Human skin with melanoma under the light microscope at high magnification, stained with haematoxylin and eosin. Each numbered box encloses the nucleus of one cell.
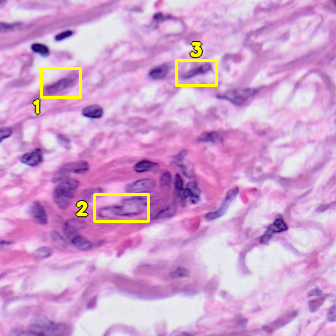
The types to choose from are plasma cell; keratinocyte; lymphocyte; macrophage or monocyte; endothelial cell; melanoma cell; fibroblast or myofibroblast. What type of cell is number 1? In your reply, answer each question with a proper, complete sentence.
Cell 1 in the field is a fibroblast or myofibroblast.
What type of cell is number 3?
Denoted by the label 3 in the section is a fibroblast or myofibroblast.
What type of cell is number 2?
Cell 2 is classified as an endothelial cell.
